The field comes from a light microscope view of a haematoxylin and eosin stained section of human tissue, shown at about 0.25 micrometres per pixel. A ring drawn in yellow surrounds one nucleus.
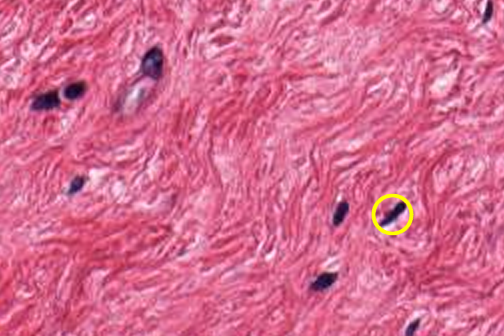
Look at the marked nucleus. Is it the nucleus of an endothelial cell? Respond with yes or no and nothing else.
no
